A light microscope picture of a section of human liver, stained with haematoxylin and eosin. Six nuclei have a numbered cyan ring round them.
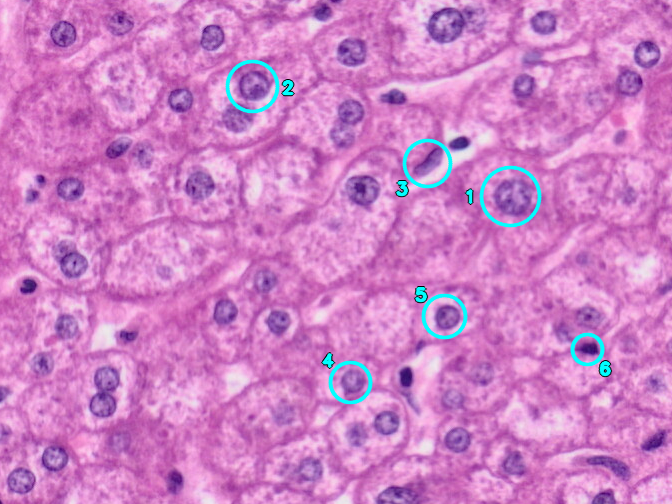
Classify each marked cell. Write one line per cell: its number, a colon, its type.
1: hepatocyte
2: hepatocyte
3: Kupffer cell
4: hepatocyte
5: hepatocyte
6: fibroblast or stellate cell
